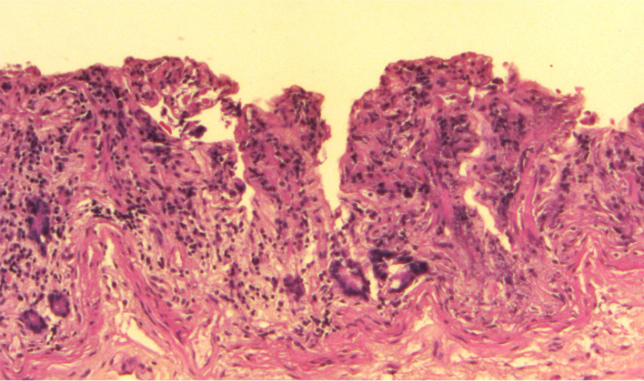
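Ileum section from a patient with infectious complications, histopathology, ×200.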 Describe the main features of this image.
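This is injured small intestinal mucosa in which the villi are short, broad and blunted. Their tips are ragged and have lost the surface epithelial lining, leaving a frayed, ulcerated surface of densely cellular tissue with many dark nuclei. Gaps separate strips of tissue along the sides of the villi, and only a few crypts remain near the base above a pink, fibrous layer. The normal regular pattern of tall, epithelium-covered villi is lost.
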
